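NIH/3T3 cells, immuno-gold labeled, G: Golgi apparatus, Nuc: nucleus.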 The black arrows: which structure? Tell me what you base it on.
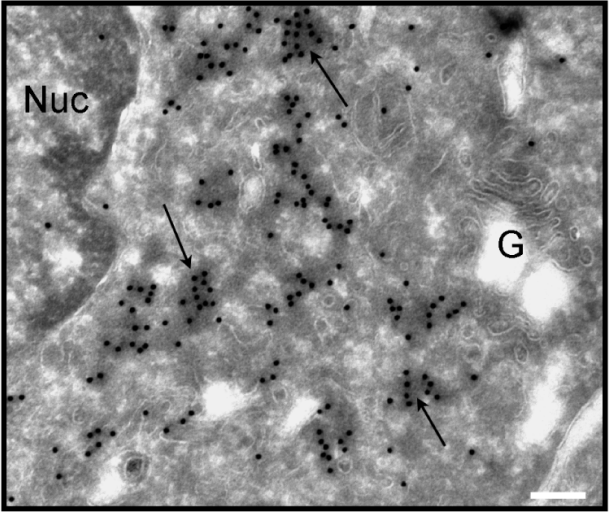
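Electron-dense protein aggregates. The arrows point to darker, amorphous cytoplasmic patches. Each patch is covered by a tight cluster of black gold dots. No surrounding membrane encloses the patches.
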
